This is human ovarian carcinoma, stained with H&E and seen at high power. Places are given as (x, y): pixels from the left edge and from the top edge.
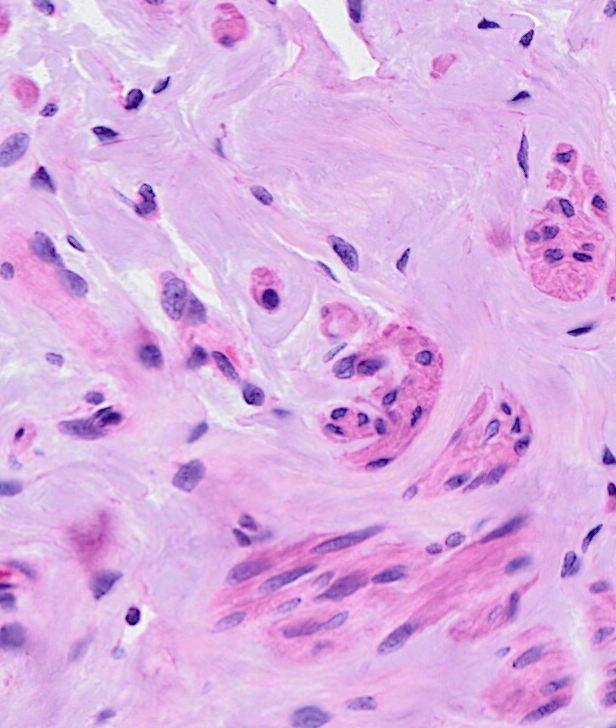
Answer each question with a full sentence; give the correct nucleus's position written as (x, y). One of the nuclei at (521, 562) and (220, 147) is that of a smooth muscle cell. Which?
It is the nucleus at (521, 562) that belongs to a smooth muscle cell.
